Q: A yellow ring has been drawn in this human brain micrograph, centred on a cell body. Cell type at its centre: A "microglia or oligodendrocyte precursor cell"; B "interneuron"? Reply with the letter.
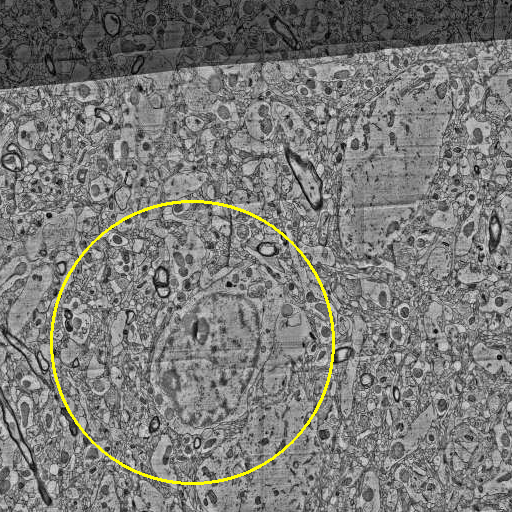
B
